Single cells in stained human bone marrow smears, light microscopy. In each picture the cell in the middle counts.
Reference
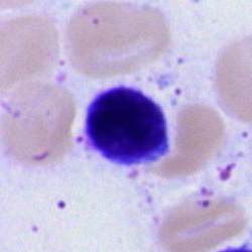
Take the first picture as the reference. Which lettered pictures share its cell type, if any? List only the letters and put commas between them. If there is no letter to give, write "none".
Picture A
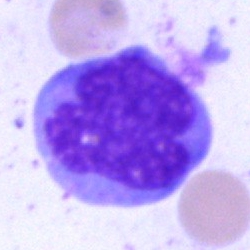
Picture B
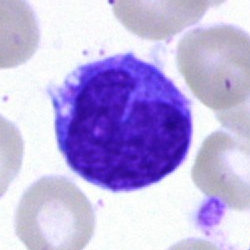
none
